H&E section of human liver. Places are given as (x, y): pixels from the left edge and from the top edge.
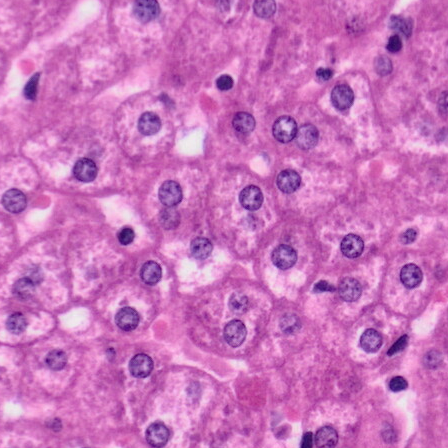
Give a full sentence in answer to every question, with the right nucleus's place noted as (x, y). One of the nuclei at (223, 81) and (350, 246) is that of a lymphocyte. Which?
Of these two nuclei, it is the one at (223, 81) that belongs to a lymphocyte.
